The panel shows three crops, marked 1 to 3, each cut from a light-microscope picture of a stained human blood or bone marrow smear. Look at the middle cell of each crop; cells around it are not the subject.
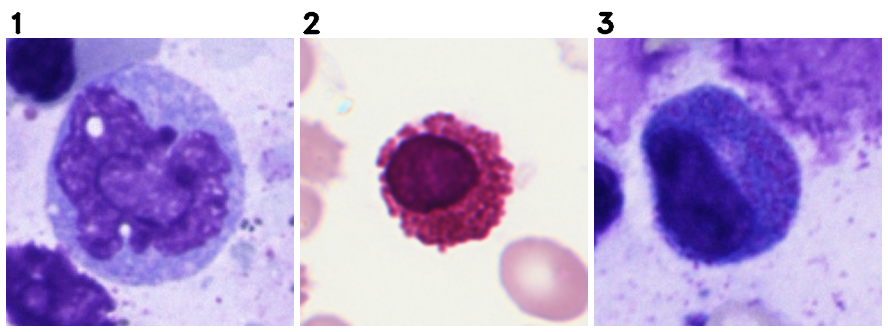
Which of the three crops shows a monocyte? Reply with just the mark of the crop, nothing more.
1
